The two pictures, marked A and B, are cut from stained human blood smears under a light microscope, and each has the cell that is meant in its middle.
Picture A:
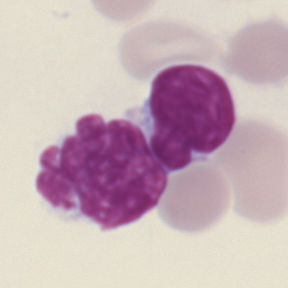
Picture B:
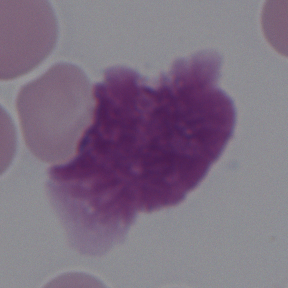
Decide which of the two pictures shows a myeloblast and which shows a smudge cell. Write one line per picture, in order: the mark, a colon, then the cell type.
A: myeloblast
B: smudge cell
